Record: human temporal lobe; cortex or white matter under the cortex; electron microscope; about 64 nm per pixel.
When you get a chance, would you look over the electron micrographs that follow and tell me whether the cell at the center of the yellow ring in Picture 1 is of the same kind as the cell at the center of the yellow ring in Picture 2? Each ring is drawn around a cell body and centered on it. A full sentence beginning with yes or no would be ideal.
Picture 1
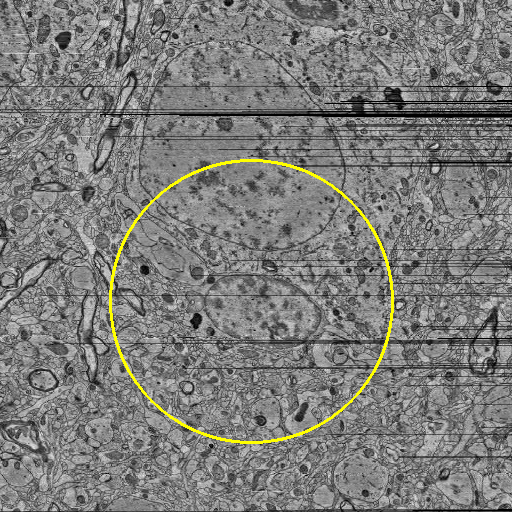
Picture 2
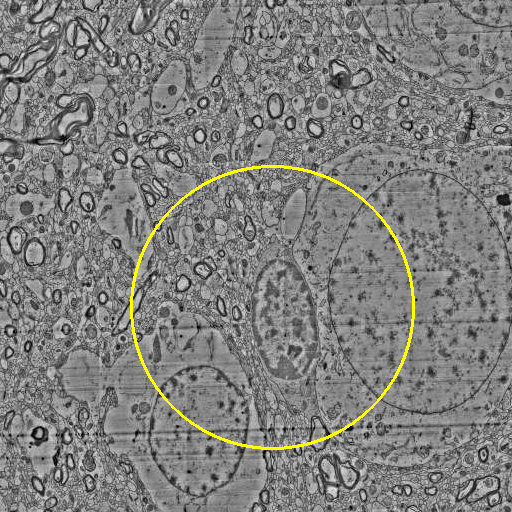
Yes, the two cells are of the same kind.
